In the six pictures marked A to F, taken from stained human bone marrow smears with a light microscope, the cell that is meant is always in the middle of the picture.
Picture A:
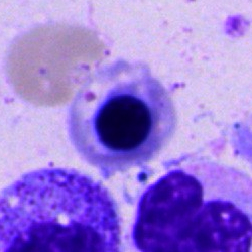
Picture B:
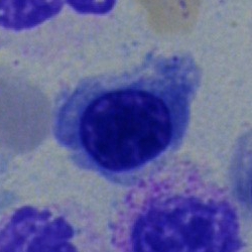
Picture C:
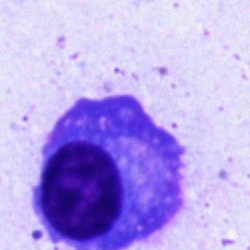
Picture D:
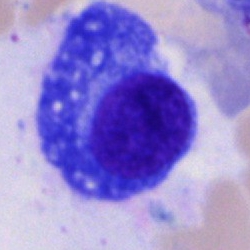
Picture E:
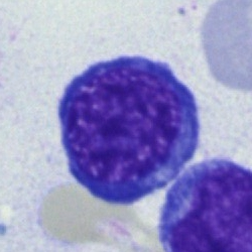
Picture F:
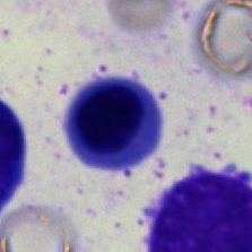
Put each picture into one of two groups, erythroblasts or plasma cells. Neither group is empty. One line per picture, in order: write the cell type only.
erythroblast
erythroblast
plasma cell
plasma cell
erythroblast
erythroblast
